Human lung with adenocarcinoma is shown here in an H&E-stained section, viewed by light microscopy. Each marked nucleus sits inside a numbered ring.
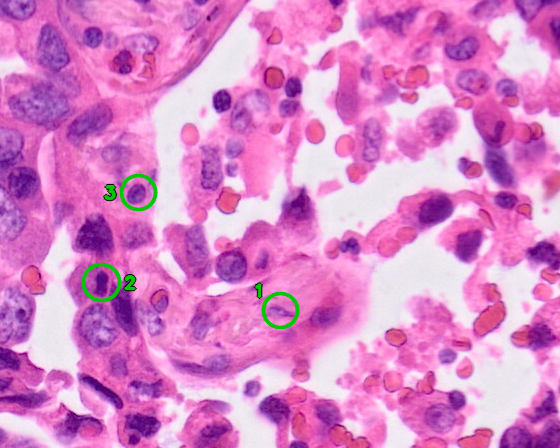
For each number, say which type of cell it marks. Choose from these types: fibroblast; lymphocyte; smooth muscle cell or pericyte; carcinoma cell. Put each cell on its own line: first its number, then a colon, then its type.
1: fibroblast
2: carcinoma cell
3: lymphocyte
